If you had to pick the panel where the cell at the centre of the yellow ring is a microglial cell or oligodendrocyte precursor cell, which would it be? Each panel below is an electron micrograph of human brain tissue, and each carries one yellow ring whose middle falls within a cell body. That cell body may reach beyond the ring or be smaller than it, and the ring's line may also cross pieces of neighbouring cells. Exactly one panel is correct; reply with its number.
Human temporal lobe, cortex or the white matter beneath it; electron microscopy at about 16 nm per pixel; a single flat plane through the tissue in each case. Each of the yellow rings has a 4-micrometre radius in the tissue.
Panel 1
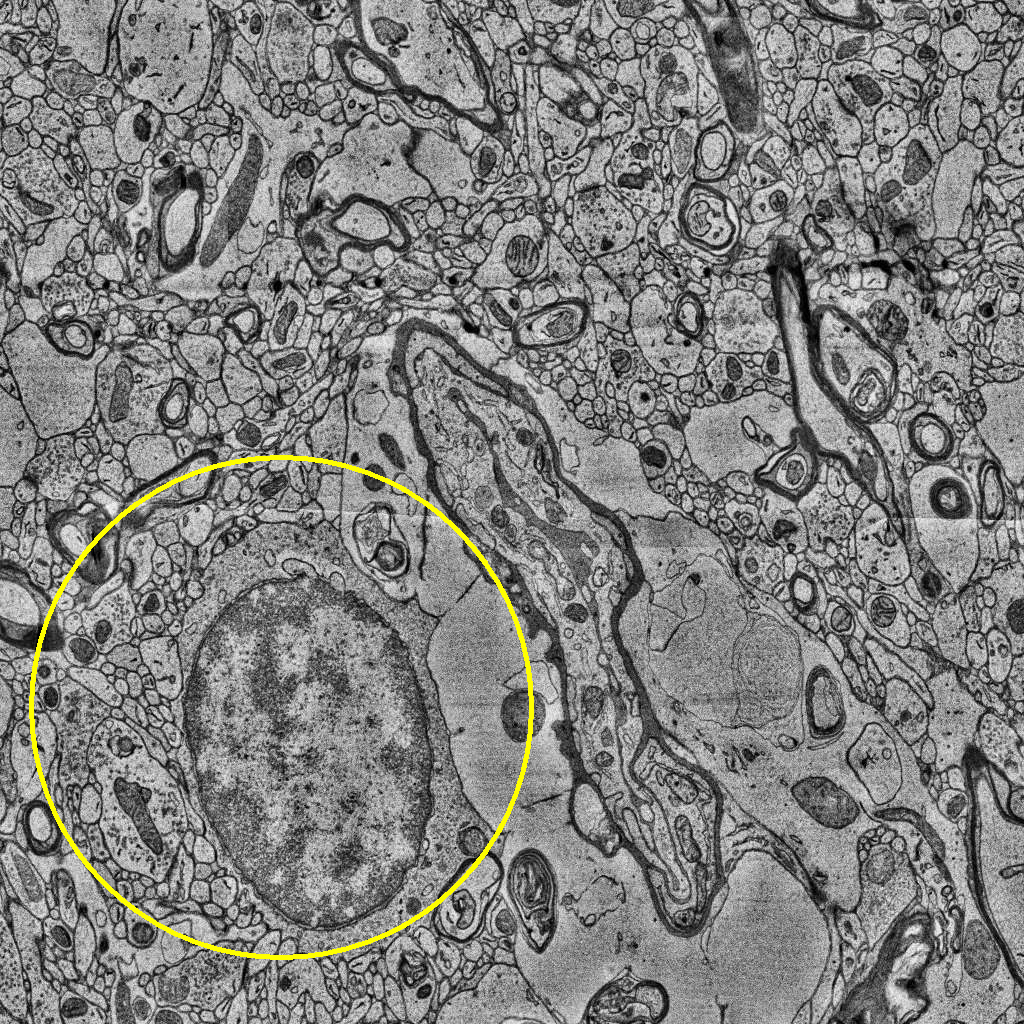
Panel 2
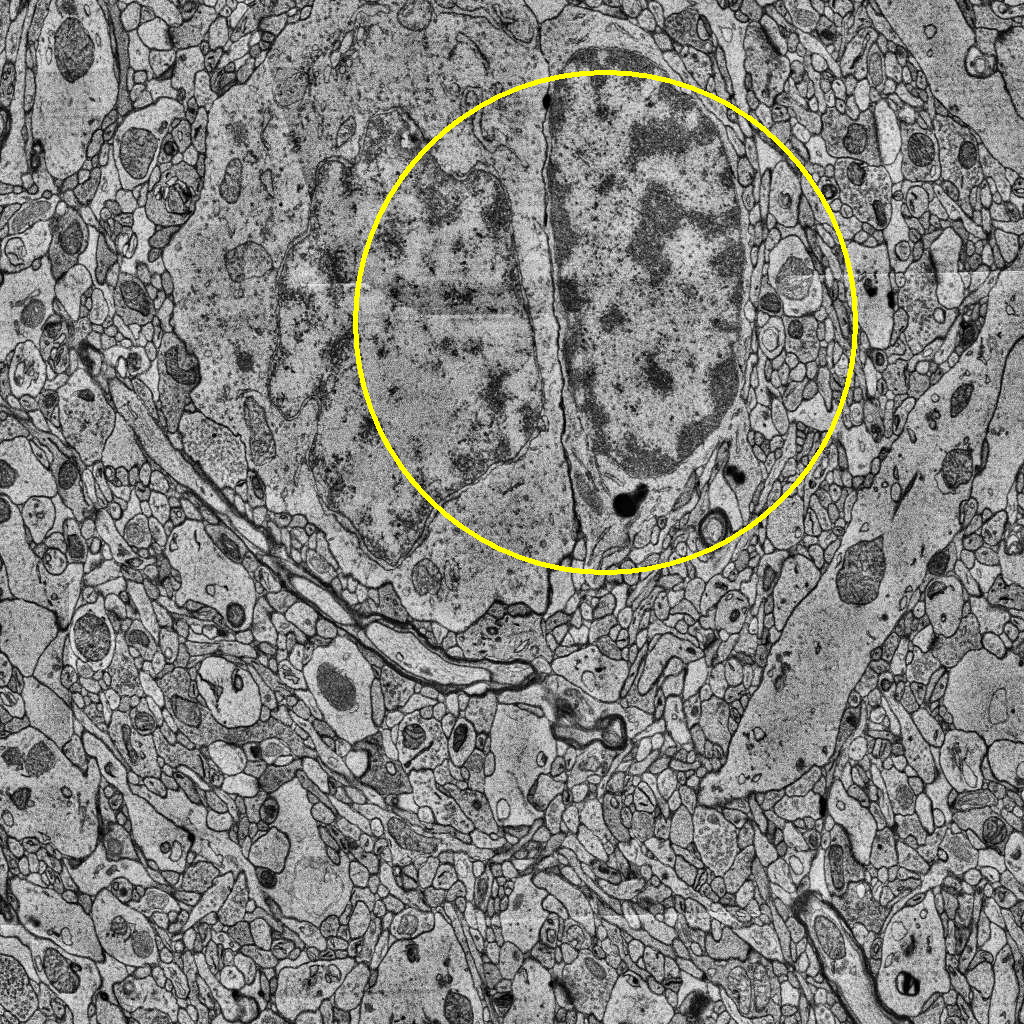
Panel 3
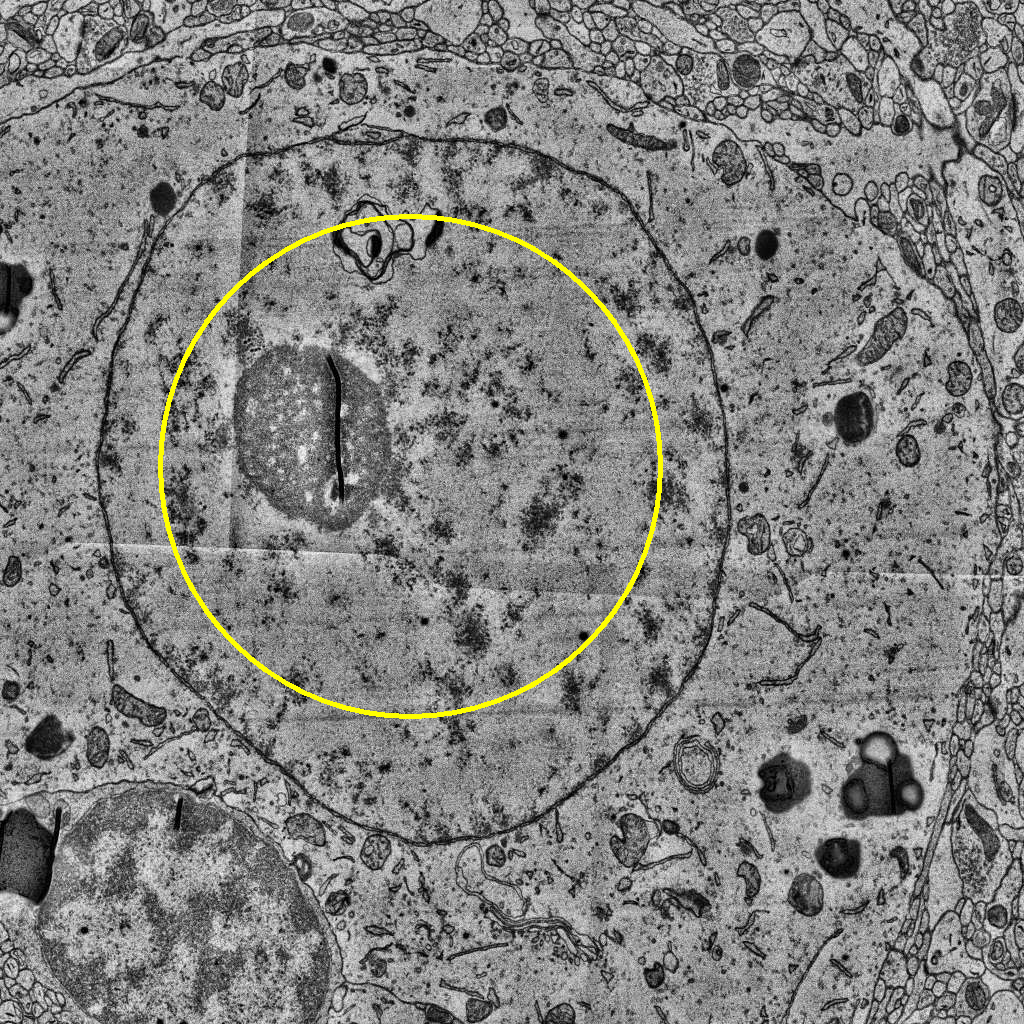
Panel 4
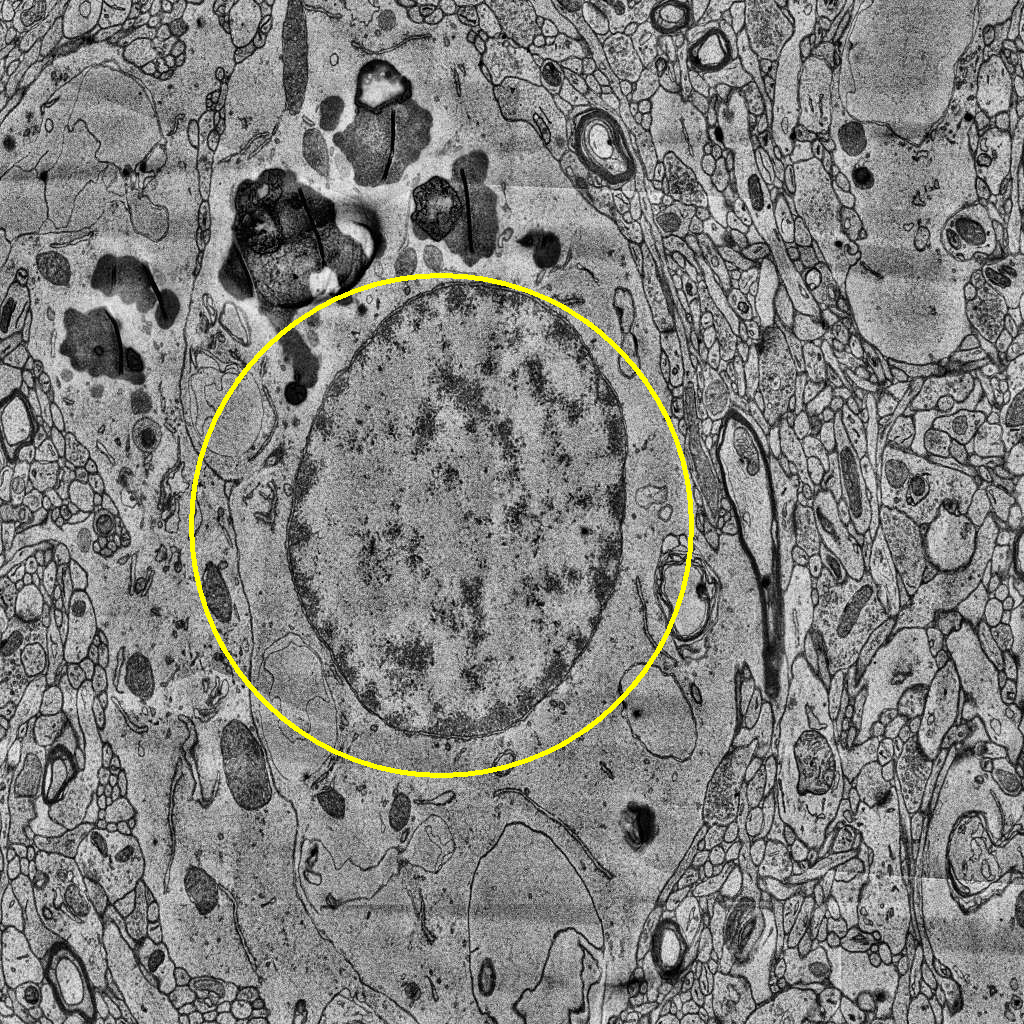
2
